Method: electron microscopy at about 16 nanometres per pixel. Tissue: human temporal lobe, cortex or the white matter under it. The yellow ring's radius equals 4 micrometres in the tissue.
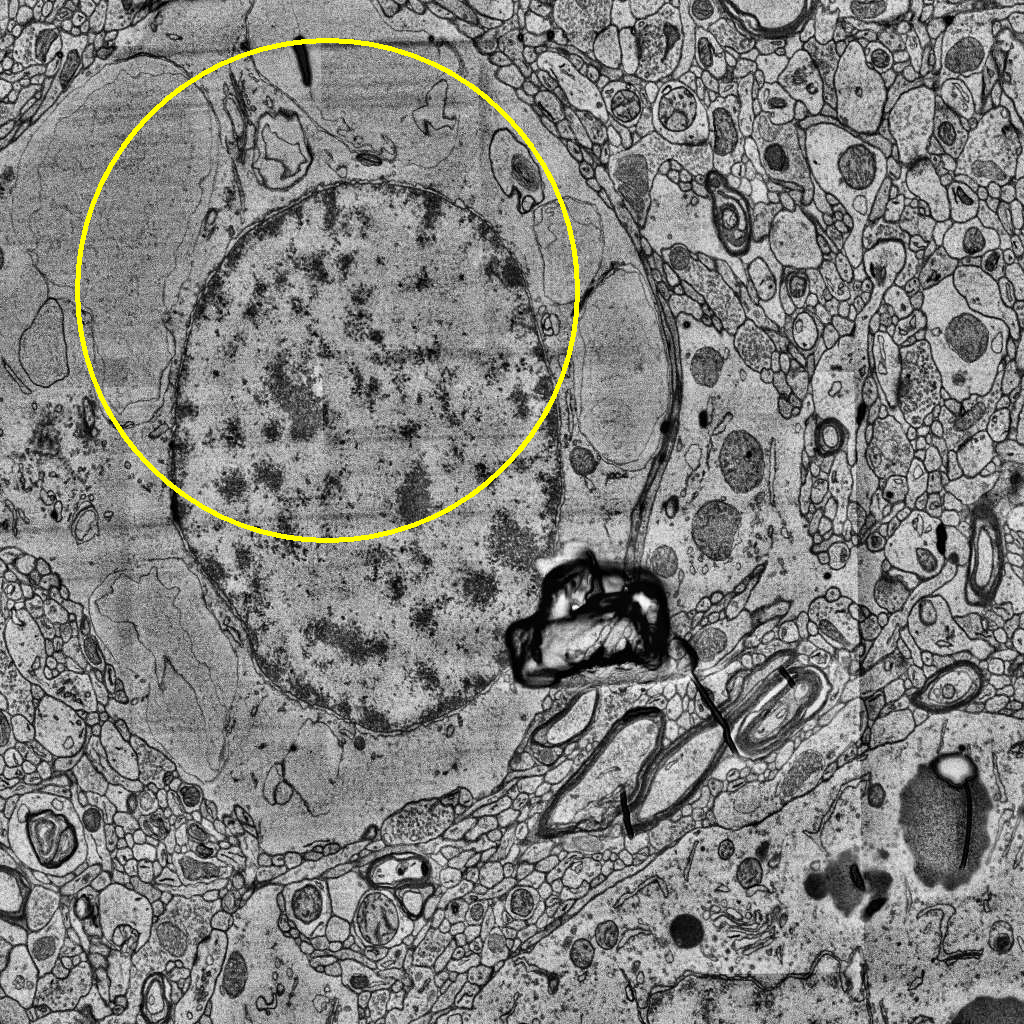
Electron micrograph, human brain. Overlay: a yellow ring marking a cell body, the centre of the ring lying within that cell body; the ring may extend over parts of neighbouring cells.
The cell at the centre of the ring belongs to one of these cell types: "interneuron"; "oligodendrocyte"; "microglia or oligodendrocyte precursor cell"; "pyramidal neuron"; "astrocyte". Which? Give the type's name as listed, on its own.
astrocyte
